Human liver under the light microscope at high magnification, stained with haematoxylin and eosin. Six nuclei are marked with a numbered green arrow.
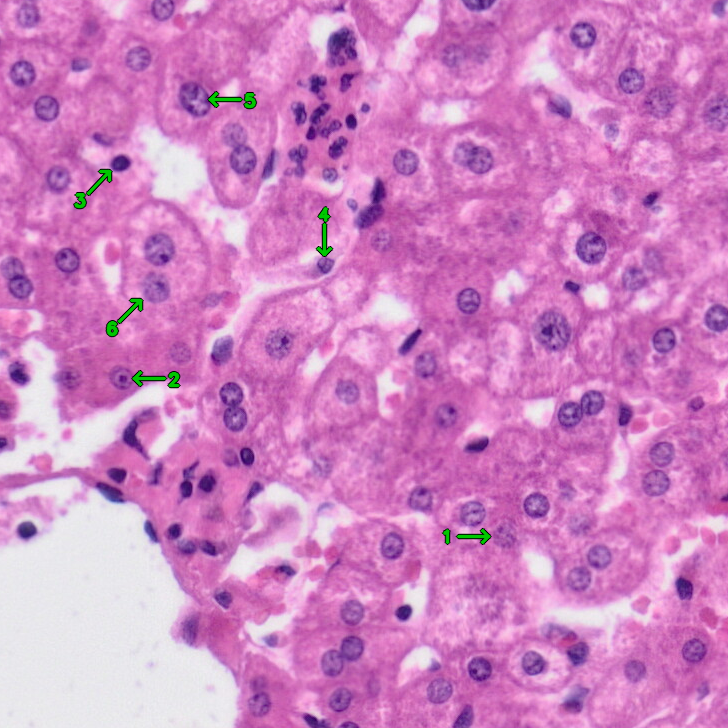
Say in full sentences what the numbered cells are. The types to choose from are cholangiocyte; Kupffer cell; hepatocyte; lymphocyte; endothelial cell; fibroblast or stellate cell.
Cell 1 is a hepatocyte, cell 2 is a hepatocyte, cell 3 is a lymphocyte, cell 4 is a Kupffer cell, cell 5 is a hepatocyte and cell 6 is a hepatocyte.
